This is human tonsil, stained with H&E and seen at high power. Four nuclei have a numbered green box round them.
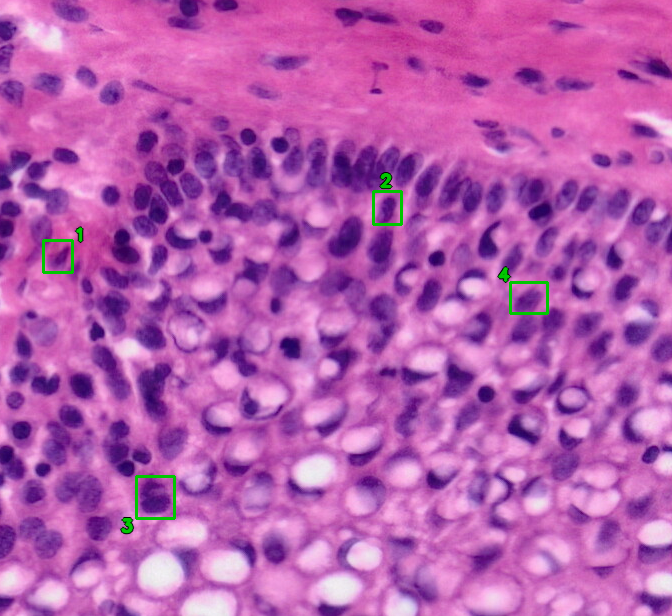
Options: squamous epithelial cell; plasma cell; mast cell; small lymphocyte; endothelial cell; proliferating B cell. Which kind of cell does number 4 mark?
squamous epithelial cell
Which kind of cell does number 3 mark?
squamous epithelial cell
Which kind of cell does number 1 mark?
endothelial cell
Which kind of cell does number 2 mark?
squamous epithelial cell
